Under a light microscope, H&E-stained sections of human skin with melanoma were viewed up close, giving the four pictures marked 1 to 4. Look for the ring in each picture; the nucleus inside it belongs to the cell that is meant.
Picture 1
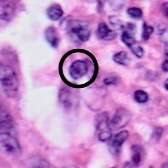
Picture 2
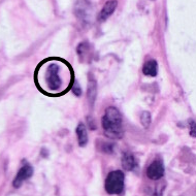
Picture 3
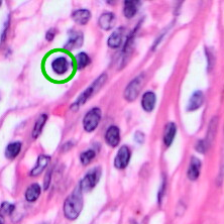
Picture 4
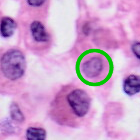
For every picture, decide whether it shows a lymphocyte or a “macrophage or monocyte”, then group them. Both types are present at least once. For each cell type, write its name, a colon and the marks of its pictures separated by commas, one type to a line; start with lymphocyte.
lymphocyte: 1, 2, 3
macrophage or monocyte: 4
